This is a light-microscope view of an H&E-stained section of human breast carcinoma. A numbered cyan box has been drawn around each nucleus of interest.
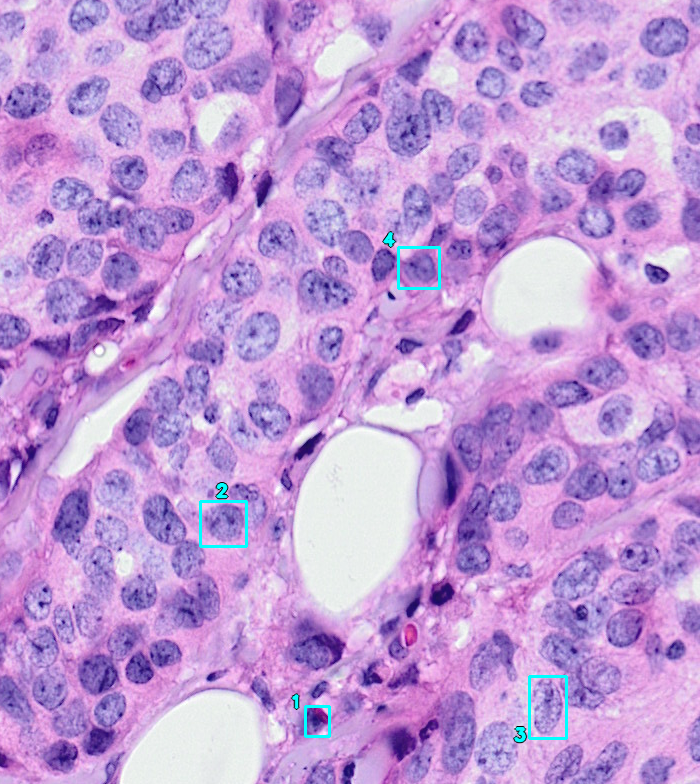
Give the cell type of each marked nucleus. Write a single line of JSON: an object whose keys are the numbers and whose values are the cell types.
{"1": "endothelial cell", "2": "carcinoma cell", "3": "carcinoma cell", "4": "carcinoma cell"}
